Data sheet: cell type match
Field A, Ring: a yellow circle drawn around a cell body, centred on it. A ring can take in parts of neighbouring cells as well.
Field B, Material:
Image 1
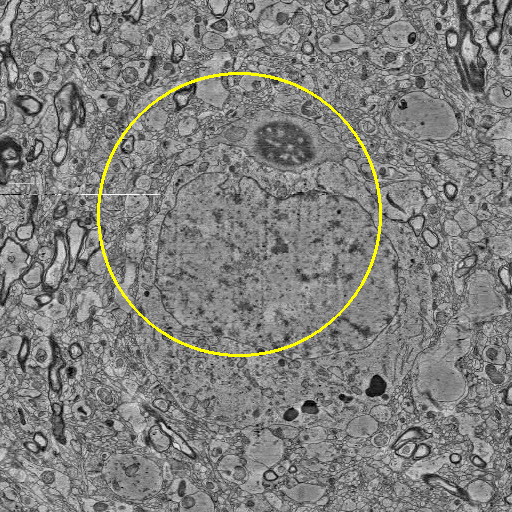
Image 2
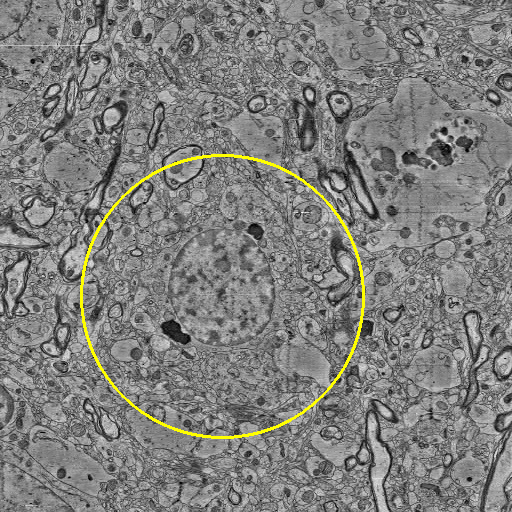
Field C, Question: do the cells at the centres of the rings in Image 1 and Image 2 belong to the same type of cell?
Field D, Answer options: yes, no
no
